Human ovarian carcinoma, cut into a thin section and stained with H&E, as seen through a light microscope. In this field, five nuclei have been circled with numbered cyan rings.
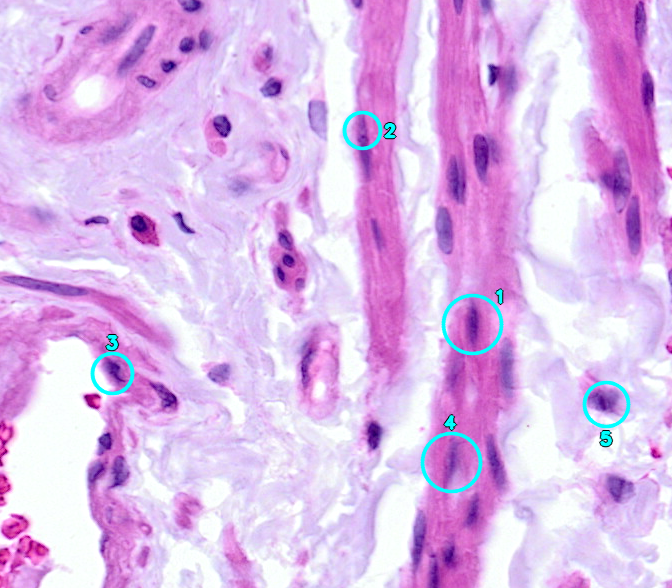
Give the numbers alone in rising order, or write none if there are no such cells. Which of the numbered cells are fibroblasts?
5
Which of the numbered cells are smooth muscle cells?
1, 2, 4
